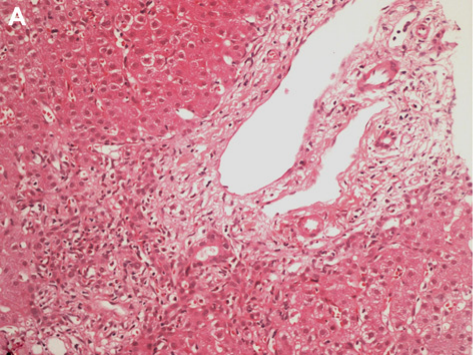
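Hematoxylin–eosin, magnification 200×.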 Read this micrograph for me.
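This is liver showing an expanded portal tract, with fibrous tissue, proliferating small bile ducts and inflammatory cells. A large, empty, branching vascular lumen runs through the centre, surrounded by a broad zone of pale pink fibrous stroma containing scattered dark nuclei. Several small round ductal profiles lined by cuboidal cells lie in this stroma. Plates of hepatocytes, large polygonal cells with pink cytoplasm and round nuclei, occupy the upper left and lower right. At the edges of the portal tract, inflammatory cells mingle with the hepatocytes, so the boundary between portal tissue and parenchyma is irregular.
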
